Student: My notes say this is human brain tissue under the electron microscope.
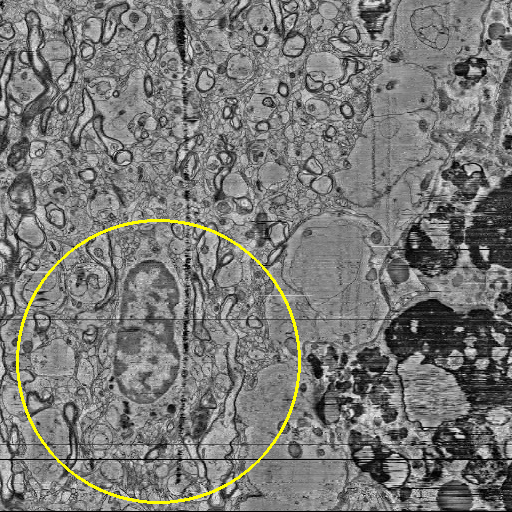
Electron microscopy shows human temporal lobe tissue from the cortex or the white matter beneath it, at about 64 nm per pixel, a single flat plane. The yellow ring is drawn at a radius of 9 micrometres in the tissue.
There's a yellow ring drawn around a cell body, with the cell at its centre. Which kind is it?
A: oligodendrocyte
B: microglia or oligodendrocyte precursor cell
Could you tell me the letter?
B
